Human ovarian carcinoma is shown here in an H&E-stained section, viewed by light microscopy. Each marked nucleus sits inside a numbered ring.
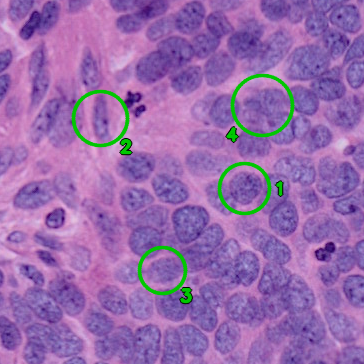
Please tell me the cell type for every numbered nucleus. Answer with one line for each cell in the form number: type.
1: carcinoma cell
2: fibroblast
3: carcinoma cell
4: carcinoma cell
